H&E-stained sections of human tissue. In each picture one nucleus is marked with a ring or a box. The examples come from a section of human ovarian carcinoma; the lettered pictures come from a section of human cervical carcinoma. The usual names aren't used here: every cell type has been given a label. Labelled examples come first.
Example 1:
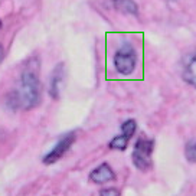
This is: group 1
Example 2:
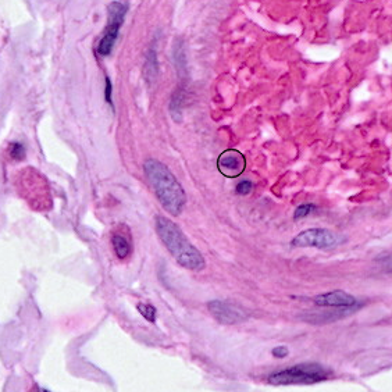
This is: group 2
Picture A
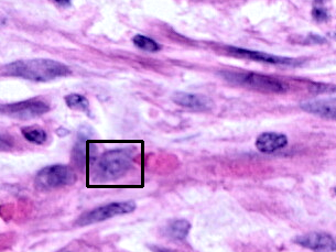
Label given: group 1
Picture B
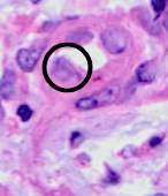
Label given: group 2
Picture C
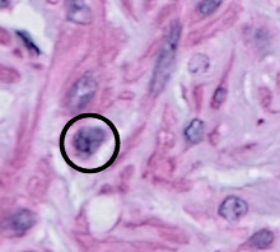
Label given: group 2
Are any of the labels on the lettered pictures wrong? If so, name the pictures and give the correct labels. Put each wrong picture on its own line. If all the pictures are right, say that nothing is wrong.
A: change group 1 to group 2
C: change group 2 to group 1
